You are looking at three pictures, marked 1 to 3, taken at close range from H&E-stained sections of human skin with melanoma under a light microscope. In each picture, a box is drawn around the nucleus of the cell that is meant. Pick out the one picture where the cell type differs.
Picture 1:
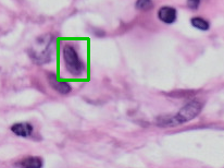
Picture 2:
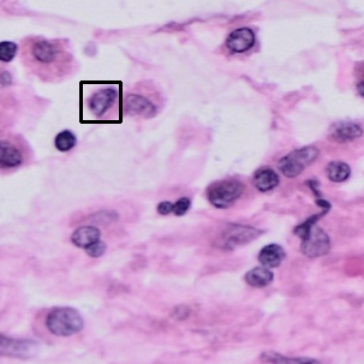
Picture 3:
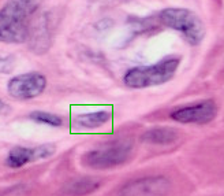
3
